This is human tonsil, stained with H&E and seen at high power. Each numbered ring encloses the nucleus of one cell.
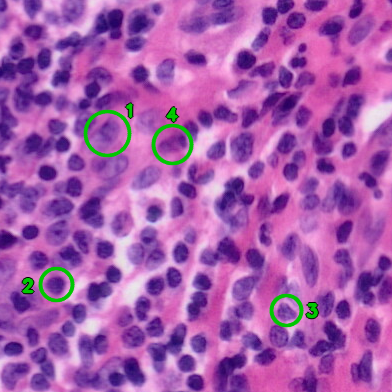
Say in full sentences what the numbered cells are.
Cells 1, 2 and 4 are endothelial cells. Cell 3 is a mast cell.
